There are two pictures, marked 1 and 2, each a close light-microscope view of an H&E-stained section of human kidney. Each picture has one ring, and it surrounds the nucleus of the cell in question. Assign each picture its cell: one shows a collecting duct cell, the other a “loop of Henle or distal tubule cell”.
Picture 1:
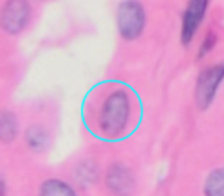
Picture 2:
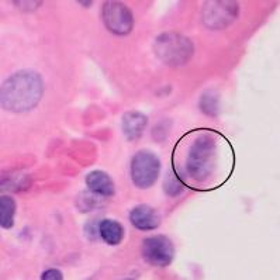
1: loop of Henle or distal tubule cell
2: collecting duct cell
